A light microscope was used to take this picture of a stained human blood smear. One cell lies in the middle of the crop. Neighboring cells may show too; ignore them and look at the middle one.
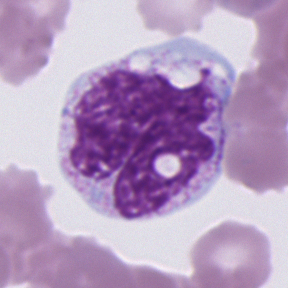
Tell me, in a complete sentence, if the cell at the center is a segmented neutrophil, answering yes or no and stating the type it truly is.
No, the cell placed in the centre is a monocyte and is not a segmented neutrophil.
